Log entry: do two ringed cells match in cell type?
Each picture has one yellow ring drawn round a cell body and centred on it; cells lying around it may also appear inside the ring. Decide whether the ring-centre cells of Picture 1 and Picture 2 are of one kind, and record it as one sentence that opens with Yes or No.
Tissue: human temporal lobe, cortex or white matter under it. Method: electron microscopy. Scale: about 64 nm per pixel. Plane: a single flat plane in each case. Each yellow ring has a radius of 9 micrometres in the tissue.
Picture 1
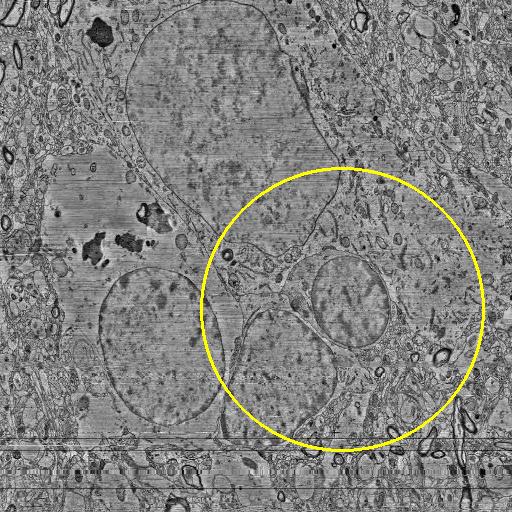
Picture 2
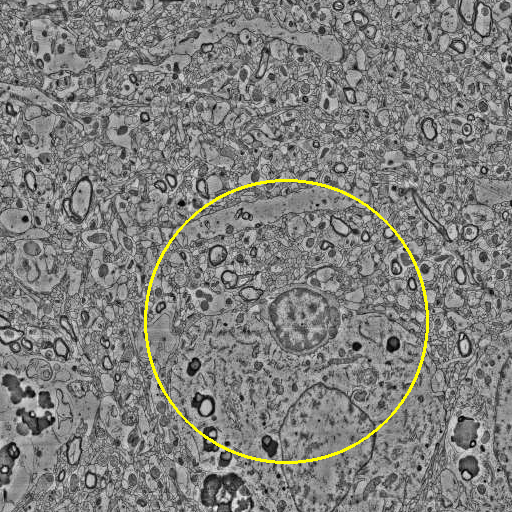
Yes, the cells at the ring centres of the two pictures belong to one kind.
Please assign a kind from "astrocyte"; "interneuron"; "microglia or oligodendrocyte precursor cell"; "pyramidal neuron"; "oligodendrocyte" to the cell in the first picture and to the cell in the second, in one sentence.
The cell in the first picture is an oligodendrocyte, and so is the one in the second.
